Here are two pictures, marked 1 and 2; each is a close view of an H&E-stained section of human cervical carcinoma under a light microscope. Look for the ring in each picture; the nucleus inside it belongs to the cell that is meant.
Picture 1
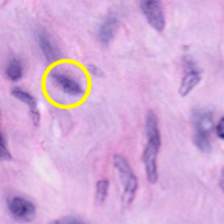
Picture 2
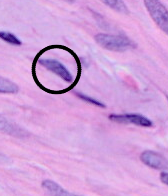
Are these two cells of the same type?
yes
